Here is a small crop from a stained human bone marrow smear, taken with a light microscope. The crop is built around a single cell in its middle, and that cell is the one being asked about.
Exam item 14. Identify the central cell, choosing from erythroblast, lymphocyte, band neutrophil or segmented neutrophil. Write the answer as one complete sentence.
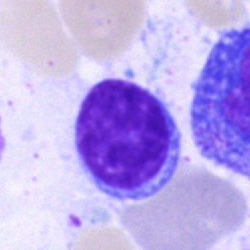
Occupying the centre of the crop is a lymphocyte.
